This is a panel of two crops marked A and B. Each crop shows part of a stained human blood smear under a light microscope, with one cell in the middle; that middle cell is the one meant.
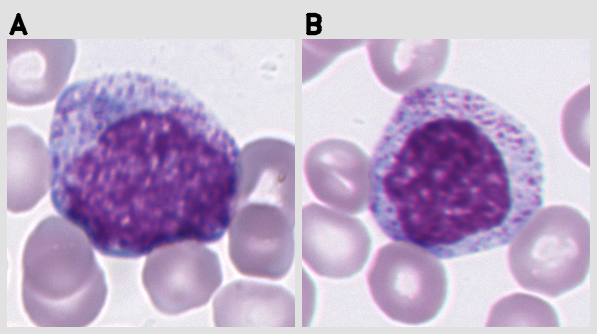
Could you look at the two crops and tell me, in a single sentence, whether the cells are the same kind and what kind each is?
Yes, the two crops share the same answer, myelocytes.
